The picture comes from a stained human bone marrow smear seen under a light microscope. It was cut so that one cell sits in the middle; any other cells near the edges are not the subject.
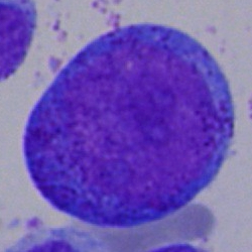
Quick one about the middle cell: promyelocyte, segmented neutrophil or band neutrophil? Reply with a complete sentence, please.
In the center of this field lies a promyelocyte.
